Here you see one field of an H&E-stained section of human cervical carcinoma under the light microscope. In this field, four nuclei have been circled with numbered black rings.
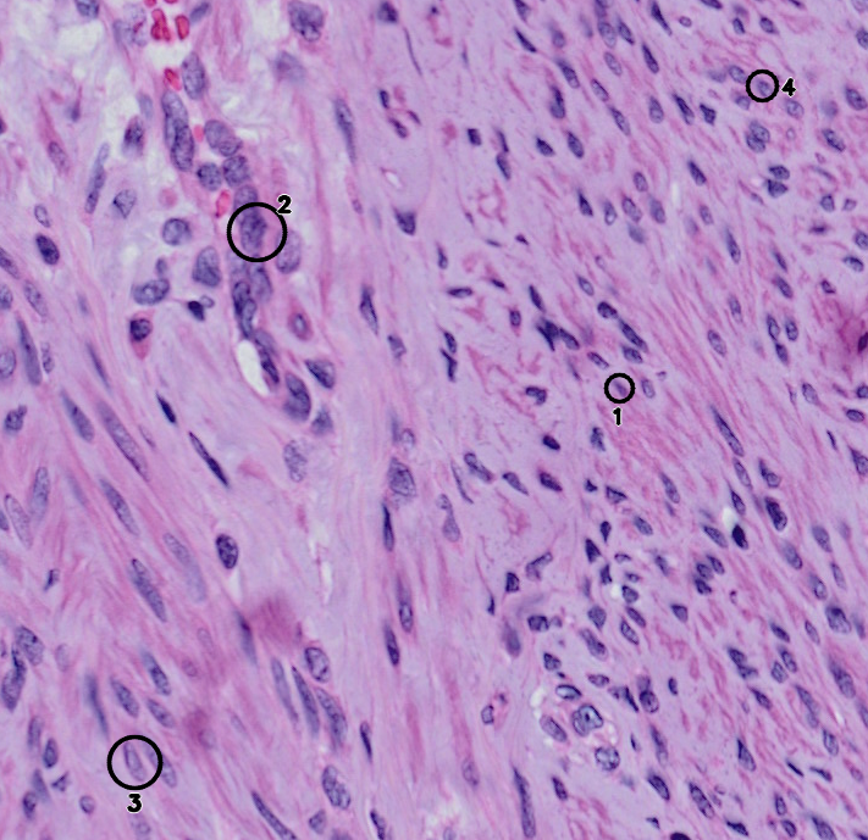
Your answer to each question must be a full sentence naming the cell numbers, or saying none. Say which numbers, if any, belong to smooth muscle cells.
Identified as smooth muscle cells are the cells numbered 1, 3 and 4.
